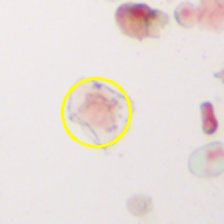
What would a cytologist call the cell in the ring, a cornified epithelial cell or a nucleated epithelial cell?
A cytologist would call it a cornified epithelial cell.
